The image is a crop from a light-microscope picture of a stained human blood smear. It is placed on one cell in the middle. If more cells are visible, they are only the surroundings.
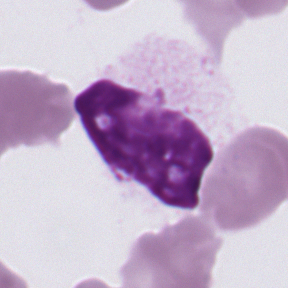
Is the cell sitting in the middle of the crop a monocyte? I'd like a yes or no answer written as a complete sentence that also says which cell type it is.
No, the cell in the middle should be called a segmented neutrophil instead of a monocyte.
